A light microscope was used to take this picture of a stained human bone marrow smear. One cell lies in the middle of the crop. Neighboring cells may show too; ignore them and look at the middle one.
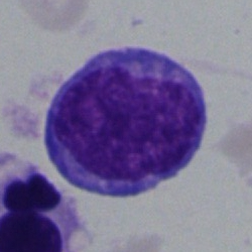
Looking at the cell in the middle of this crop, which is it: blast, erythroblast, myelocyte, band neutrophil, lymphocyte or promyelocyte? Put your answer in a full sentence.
The cell of interest, located centrally, is a blast.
